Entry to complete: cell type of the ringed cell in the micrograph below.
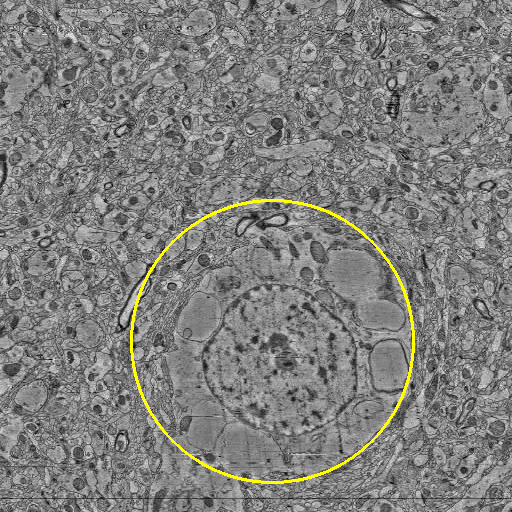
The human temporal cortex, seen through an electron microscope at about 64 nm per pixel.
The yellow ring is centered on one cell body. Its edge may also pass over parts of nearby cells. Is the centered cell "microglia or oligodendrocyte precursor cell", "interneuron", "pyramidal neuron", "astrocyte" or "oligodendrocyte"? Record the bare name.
astrocyte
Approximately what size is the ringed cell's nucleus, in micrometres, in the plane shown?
The nucleus of the ringed cell is approximately 10 micrometres across in this plane.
